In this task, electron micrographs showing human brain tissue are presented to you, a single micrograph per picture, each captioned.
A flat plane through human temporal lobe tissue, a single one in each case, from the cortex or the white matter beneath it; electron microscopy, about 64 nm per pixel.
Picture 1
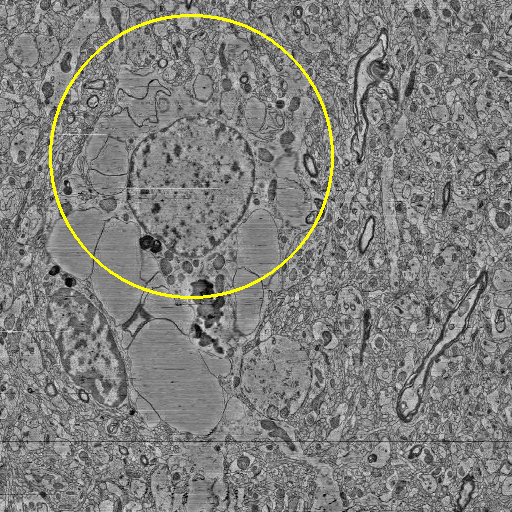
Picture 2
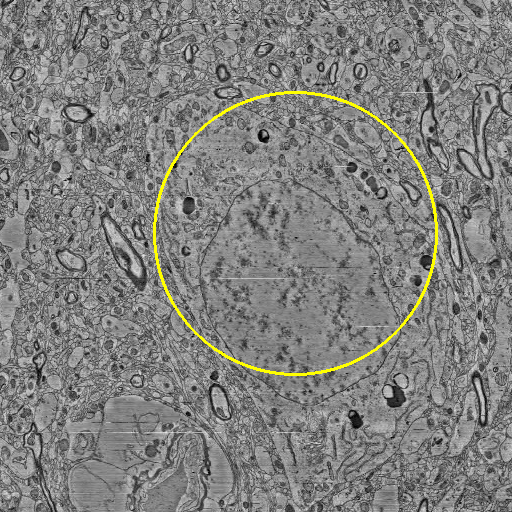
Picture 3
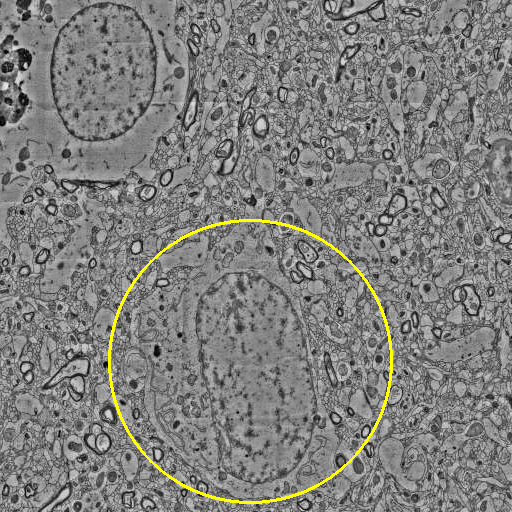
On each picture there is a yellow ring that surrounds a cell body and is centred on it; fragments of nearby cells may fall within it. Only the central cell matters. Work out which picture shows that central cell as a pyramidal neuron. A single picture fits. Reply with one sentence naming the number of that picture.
Of all the pictures, number 2 has the right cell in the centre of its ring.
